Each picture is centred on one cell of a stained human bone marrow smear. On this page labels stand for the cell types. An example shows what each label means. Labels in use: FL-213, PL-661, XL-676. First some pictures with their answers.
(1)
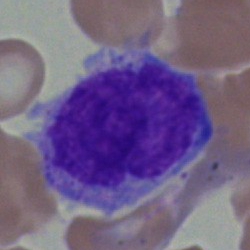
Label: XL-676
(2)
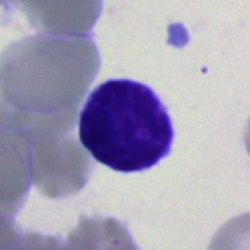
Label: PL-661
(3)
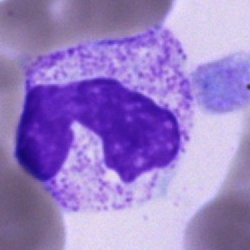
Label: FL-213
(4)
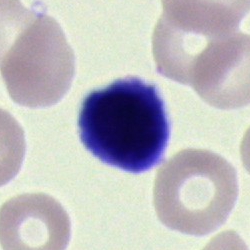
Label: PL-661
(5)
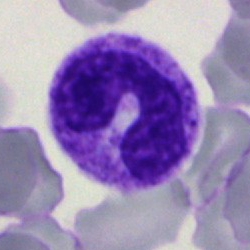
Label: FL-213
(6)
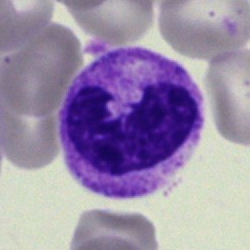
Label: FL-213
